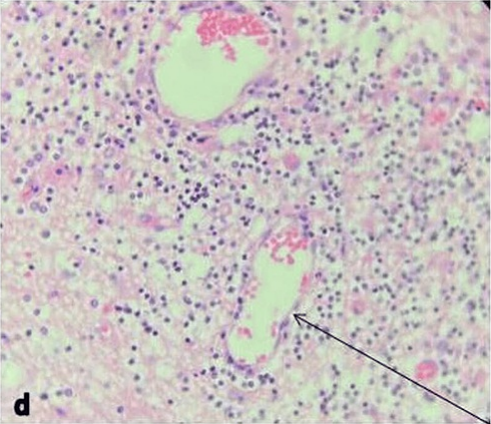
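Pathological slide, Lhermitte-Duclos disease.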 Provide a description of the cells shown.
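Nervous tissue in which thin-walled blood vessels containing red blood cells are surrounded by dense collections of small, round, dark-staining nuclei. The surrounding background is pale pink and vacuolated, with scattered larger cells having pink cytoplasm.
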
